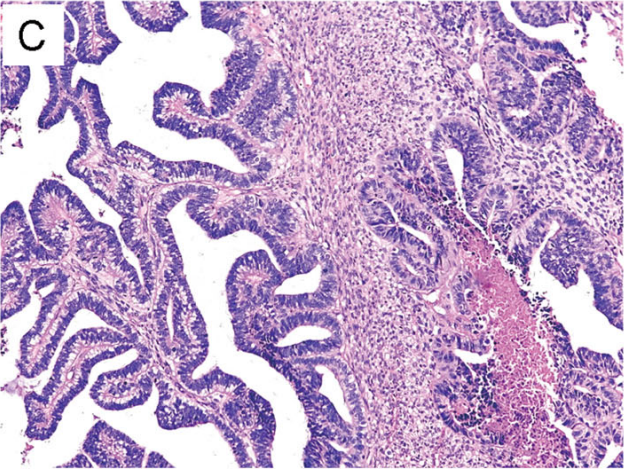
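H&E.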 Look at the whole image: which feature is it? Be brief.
papillary structure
